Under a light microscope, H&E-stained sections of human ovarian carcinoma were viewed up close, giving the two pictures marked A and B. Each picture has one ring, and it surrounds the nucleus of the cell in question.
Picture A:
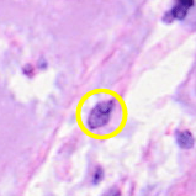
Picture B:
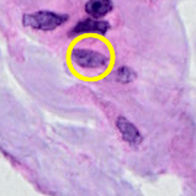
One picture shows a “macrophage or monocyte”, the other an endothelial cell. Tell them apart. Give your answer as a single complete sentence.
It is picture A that shows a “macrophage or monocyte”, and picture B that shows an endothelial cell.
